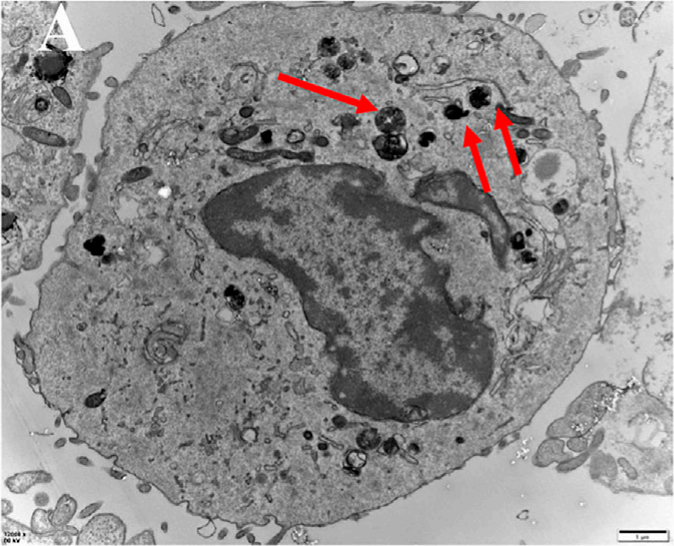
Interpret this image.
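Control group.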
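A single rounded cell is seen in thin section, with autophagic vacuoles in its cytoplasm. The nucleus is large and irregular, elongated and partly lobed, with dark clumps of condensed chromatin along its edge and scattered within. The cytoplasm is finely granular and holds elongated mitochondria and strands of membrane. Above the nucleus lie several round membrane-bound vacuoles with dark, dense, uneven contents, some holding lighter material inside. Further dense bodies and pale vesicles are scattered through the cytoplasm. The cell surface is fairly smooth, and parts of neighbouring cells and small profiles lie around it.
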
